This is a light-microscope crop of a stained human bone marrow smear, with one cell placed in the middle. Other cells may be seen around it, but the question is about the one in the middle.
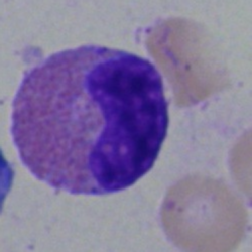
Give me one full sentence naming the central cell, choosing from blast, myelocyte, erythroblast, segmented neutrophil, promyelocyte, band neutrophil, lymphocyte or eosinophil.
The cell at the middle of the crop is recognized as an eosinophil.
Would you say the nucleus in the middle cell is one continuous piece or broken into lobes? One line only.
What stands out is a nucleus forming one compact round, oval or kidney-shaped mass.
